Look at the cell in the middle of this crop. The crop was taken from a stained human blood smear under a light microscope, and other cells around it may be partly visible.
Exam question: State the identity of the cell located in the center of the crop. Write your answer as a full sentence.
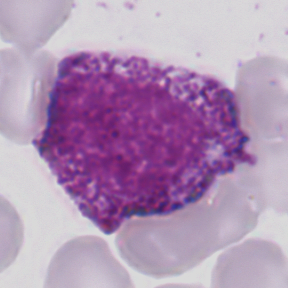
The cell at the middle of the frame should be recorded as a myelocyte.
